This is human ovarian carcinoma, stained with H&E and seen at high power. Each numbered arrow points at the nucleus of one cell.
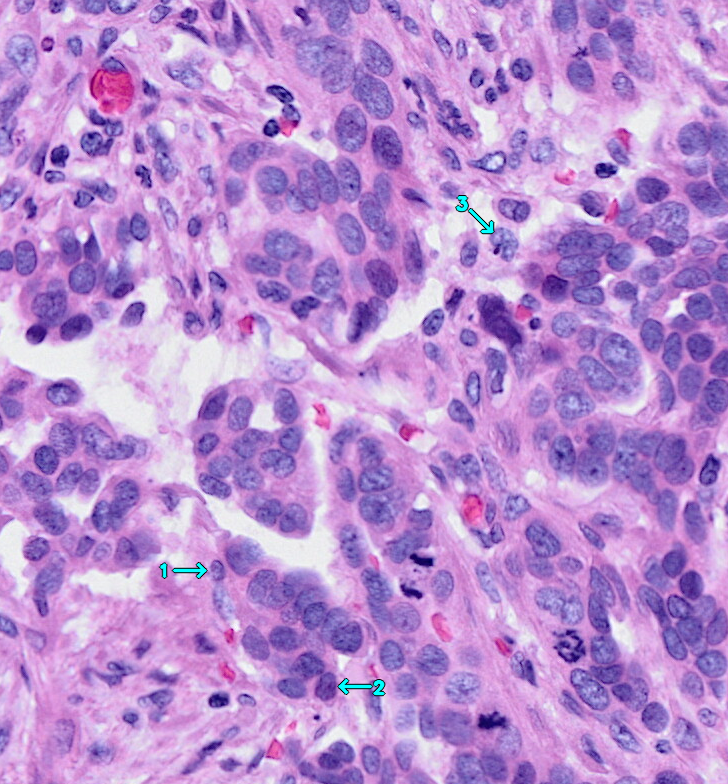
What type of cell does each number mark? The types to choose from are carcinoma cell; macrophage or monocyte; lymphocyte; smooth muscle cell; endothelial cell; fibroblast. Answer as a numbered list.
1. macrophage or monocyte
2. carcinoma cell
3. macrophage or monocyte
